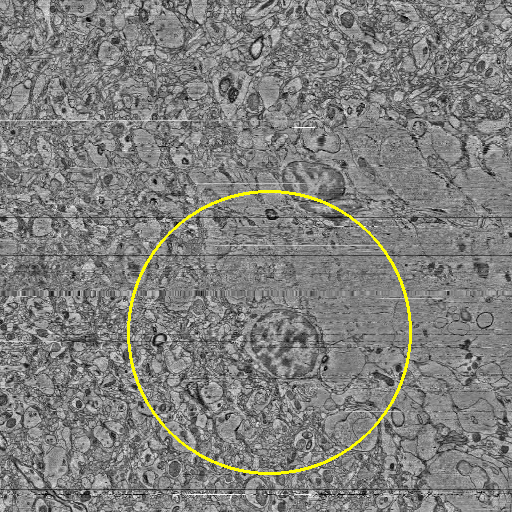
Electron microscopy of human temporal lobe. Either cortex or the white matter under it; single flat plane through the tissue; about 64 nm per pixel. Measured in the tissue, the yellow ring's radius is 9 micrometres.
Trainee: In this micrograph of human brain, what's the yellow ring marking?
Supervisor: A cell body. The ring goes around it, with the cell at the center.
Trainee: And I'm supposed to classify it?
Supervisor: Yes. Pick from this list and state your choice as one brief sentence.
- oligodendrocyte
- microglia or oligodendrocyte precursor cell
The cell at the ring's center is an oligodendrocyte.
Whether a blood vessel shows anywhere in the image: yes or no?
Yes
